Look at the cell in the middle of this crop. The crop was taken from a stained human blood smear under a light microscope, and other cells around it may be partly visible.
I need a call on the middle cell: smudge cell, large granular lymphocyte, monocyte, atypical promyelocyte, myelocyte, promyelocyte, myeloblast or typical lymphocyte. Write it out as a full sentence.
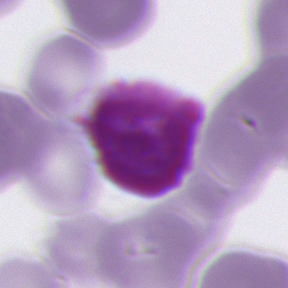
The crop's centre is taken up by a smudge cell.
